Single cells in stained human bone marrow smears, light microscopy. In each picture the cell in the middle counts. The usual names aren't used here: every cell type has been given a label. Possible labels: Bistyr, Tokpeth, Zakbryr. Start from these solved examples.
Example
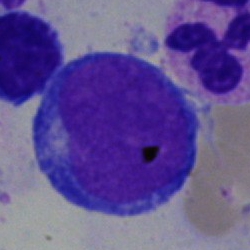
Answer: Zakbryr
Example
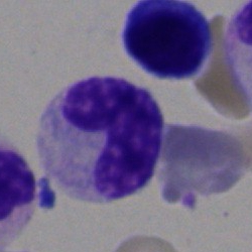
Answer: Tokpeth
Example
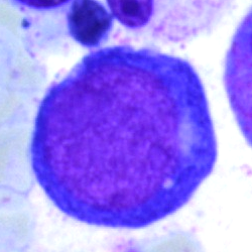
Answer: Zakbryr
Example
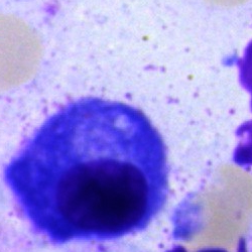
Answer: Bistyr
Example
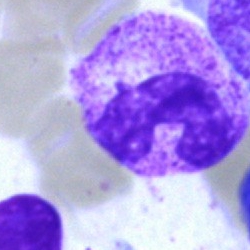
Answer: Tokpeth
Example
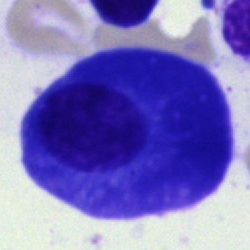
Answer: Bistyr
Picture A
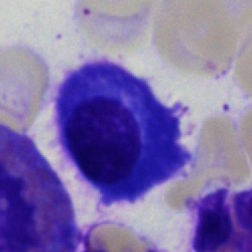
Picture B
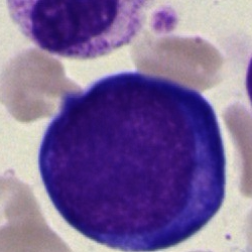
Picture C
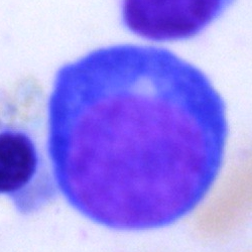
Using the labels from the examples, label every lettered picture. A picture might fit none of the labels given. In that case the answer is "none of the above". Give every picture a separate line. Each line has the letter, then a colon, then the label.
A: Bistyr
B: Zakbryr
C: Zakbryr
